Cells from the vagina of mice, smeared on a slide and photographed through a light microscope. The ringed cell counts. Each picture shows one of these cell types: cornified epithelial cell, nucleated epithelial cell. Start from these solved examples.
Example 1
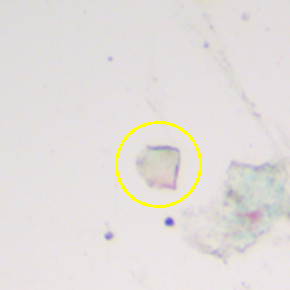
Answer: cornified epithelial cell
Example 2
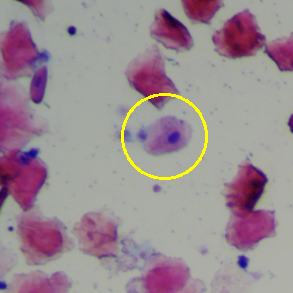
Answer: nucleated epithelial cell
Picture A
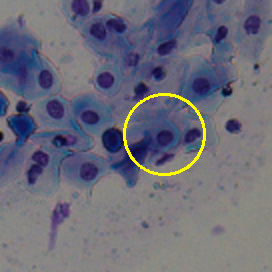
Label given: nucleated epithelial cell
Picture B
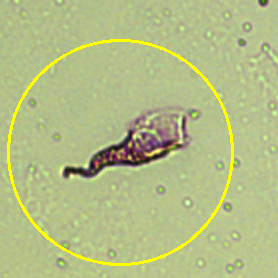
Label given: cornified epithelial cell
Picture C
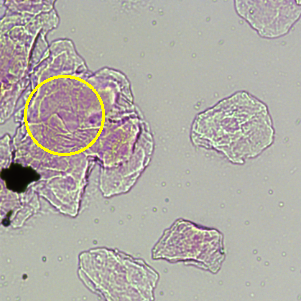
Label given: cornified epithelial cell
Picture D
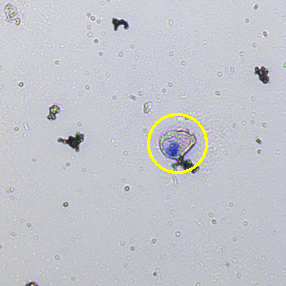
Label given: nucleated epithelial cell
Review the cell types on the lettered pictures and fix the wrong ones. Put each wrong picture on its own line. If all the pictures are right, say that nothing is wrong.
All labels are correct.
